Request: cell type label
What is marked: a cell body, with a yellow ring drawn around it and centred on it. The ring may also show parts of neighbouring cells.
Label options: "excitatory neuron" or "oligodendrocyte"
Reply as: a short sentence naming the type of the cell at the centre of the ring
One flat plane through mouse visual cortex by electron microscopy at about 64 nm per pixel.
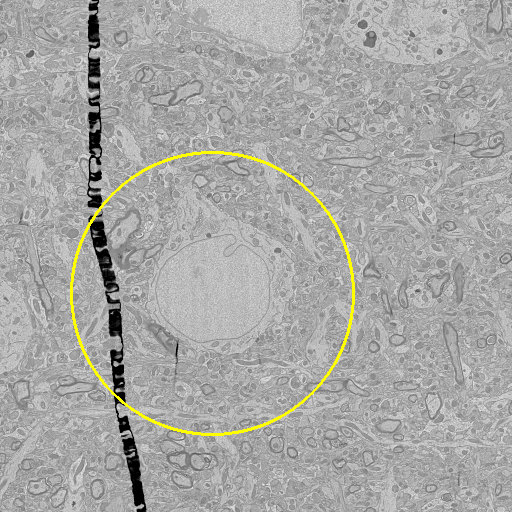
The marked cell body is that of an excitatory neuron.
